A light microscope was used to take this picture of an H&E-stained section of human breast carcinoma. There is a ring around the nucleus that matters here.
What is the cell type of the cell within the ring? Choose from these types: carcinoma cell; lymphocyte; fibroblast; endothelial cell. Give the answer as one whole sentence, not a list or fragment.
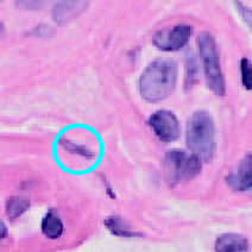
Assigned to a cell type, the cell within the ring is a fibroblast.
